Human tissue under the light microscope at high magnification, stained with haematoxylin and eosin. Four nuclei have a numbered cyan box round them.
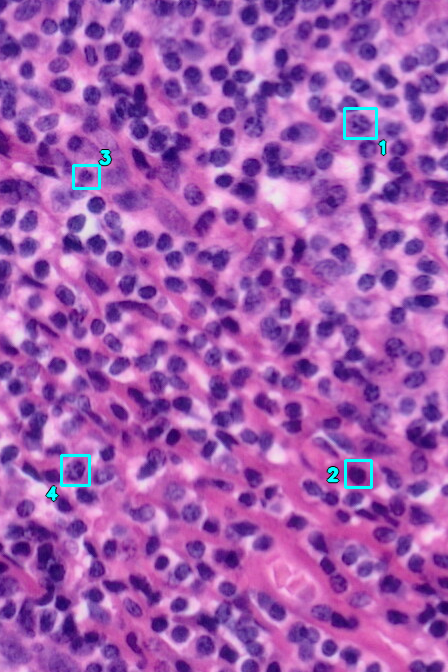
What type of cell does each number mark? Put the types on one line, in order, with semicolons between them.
plasma cell; plasma cell; endothelial cell; plasma cell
